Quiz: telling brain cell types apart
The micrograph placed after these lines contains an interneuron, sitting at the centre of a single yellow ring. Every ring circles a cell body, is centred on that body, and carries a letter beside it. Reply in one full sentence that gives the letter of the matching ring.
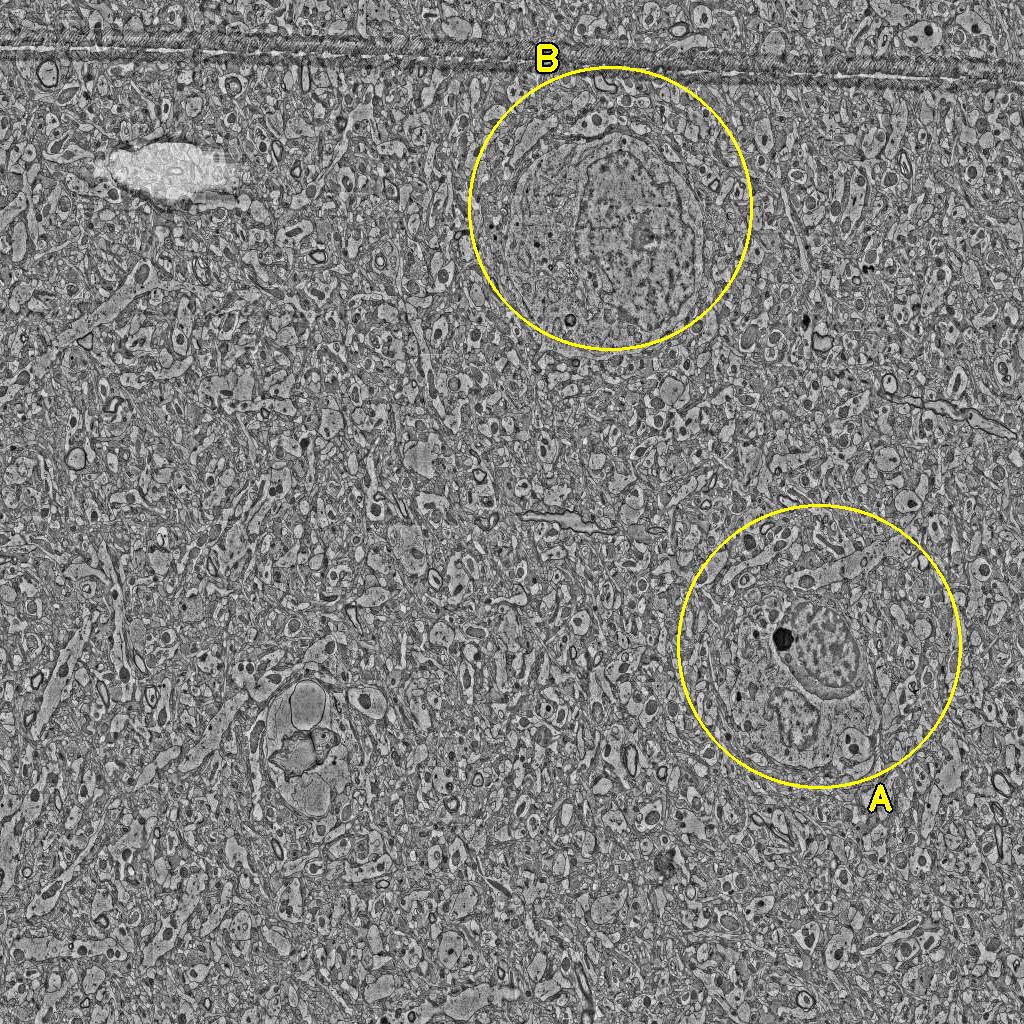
The cell asked for lies at the centre of ring B in the picture.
